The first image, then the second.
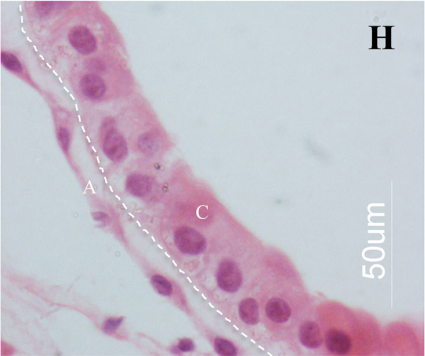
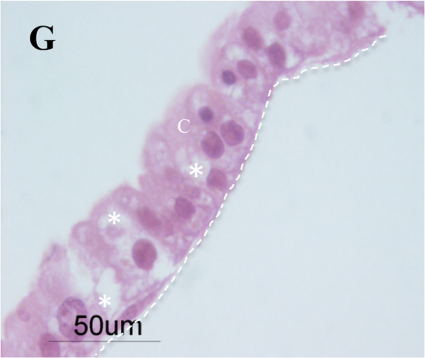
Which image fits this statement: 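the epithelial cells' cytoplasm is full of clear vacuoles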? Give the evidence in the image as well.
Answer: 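First image: the tall epithelial cells have dense, evenly pink cytoplasm without clear spaces. Second image: the cells have pale cytoplasm with many clear empty spaces. The answer: the second image.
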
